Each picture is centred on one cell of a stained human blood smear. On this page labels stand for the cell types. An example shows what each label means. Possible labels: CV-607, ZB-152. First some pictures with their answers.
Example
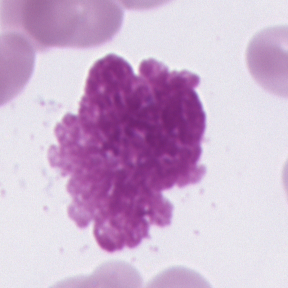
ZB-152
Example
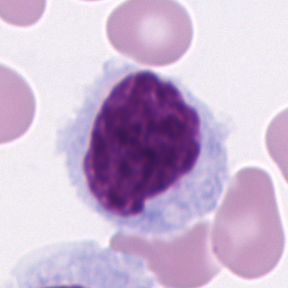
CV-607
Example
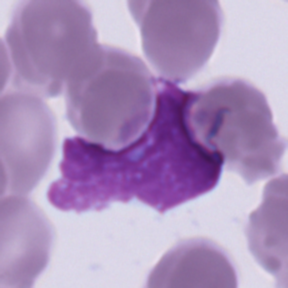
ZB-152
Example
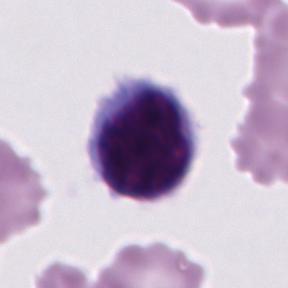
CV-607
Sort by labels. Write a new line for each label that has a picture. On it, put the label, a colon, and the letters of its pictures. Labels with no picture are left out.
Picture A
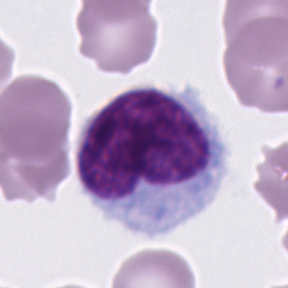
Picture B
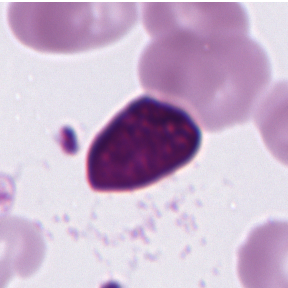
CV-607: A
ZB-152: B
